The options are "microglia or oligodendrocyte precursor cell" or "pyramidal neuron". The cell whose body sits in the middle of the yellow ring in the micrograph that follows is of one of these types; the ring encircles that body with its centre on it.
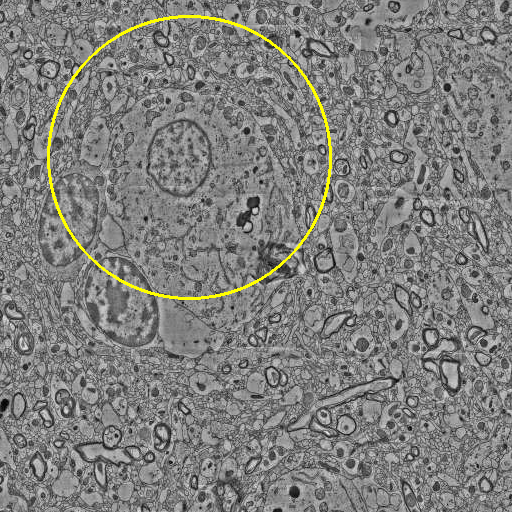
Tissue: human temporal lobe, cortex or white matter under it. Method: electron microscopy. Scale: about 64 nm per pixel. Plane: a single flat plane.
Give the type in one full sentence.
Going by the micrograph, the cell centred in the yellow ring is a pyramidal neuron.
